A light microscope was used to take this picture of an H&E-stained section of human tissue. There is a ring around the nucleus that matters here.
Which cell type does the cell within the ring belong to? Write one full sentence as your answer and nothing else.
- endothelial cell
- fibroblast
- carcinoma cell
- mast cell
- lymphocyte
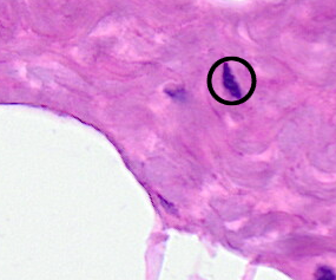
What the cell within the ring represents is a fibroblast.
